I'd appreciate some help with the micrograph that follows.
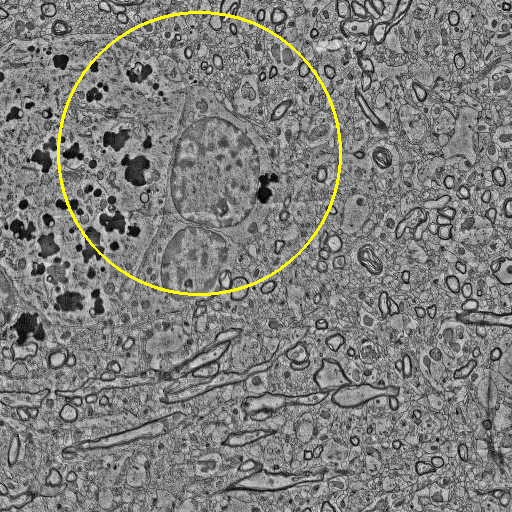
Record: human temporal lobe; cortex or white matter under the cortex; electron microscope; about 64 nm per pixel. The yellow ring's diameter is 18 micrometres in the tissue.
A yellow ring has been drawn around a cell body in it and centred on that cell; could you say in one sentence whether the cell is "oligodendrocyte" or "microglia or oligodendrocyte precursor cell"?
It is an oligodendrocyte at the centre of the ring.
